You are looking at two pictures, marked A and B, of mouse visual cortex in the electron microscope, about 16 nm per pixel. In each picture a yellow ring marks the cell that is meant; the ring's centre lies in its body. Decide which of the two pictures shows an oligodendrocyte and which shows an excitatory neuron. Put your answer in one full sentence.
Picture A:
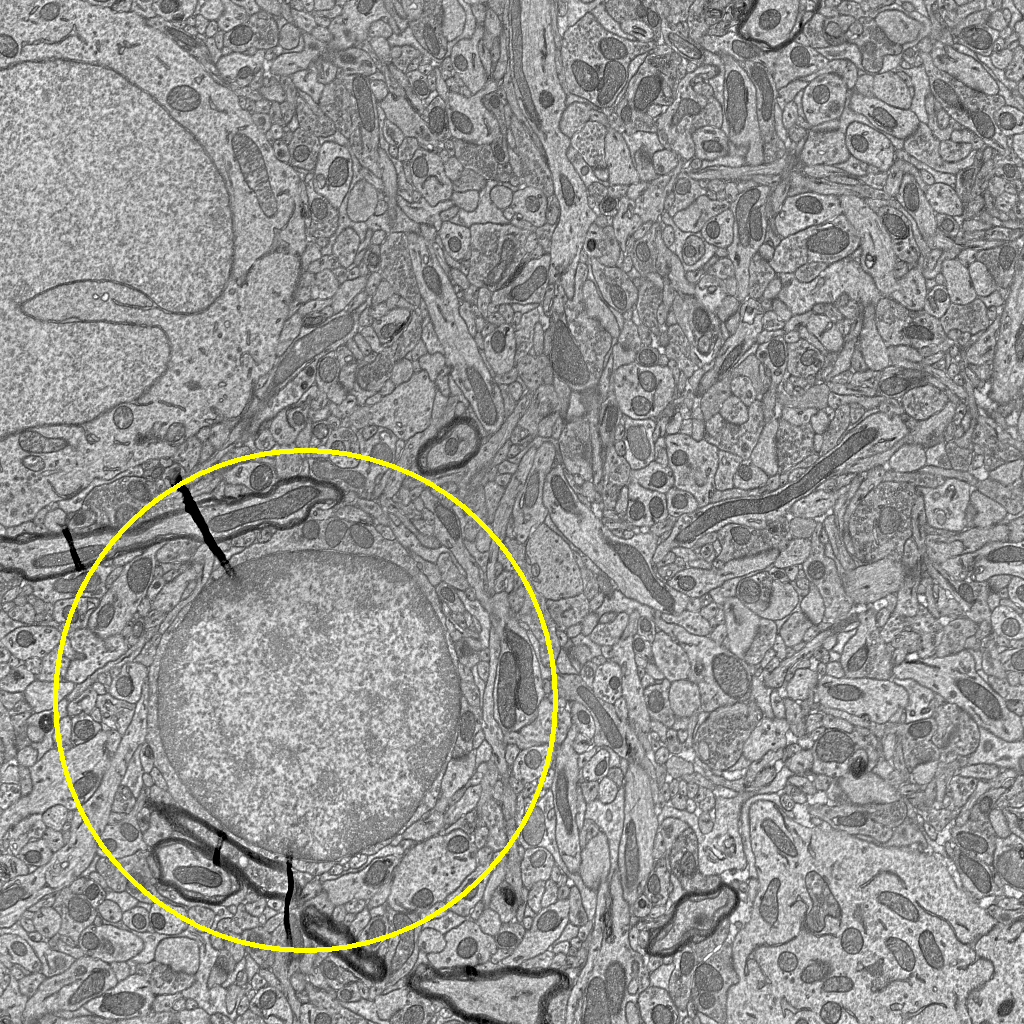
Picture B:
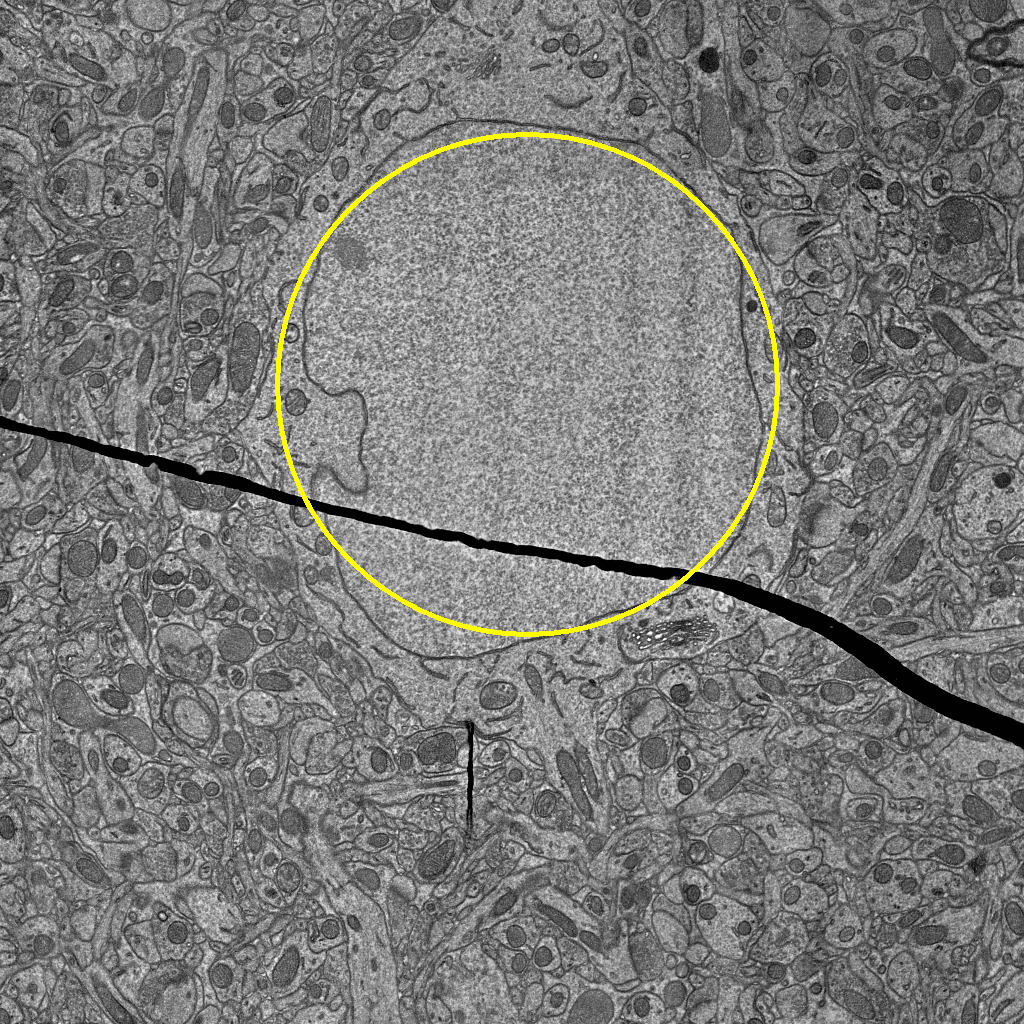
Picture A shows an oligodendrocyte and picture B shows an excitatory neuron.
